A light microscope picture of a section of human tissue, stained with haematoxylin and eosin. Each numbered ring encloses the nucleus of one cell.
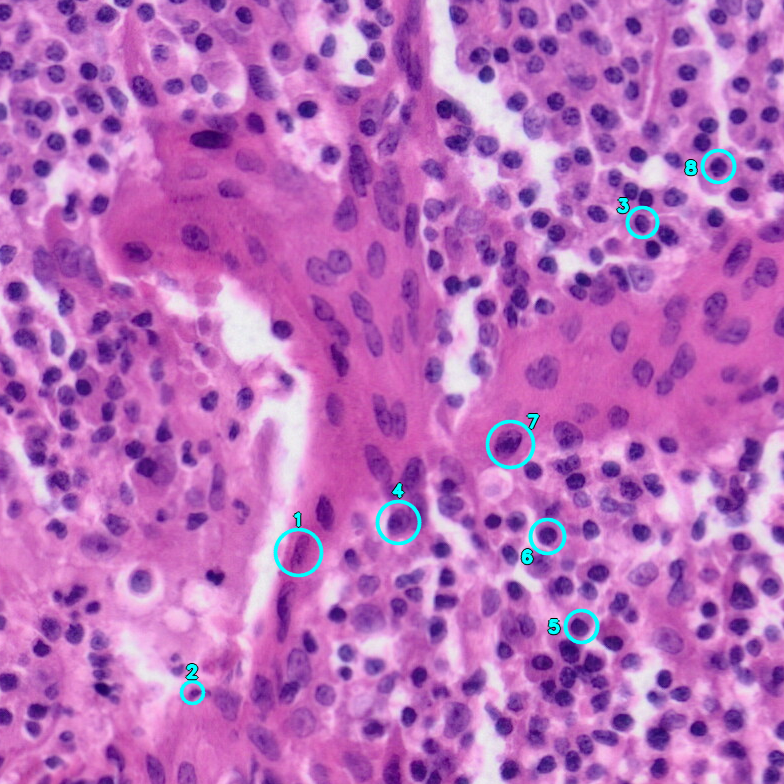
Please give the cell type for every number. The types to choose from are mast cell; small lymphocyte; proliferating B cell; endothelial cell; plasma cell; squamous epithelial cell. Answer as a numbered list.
1. squamous epithelial cell
2. squamous epithelial cell
3. plasma cell
4. squamous epithelial cell
5. plasma cell
6. plasma cell
7. squamous epithelial cell
8. plasma cell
